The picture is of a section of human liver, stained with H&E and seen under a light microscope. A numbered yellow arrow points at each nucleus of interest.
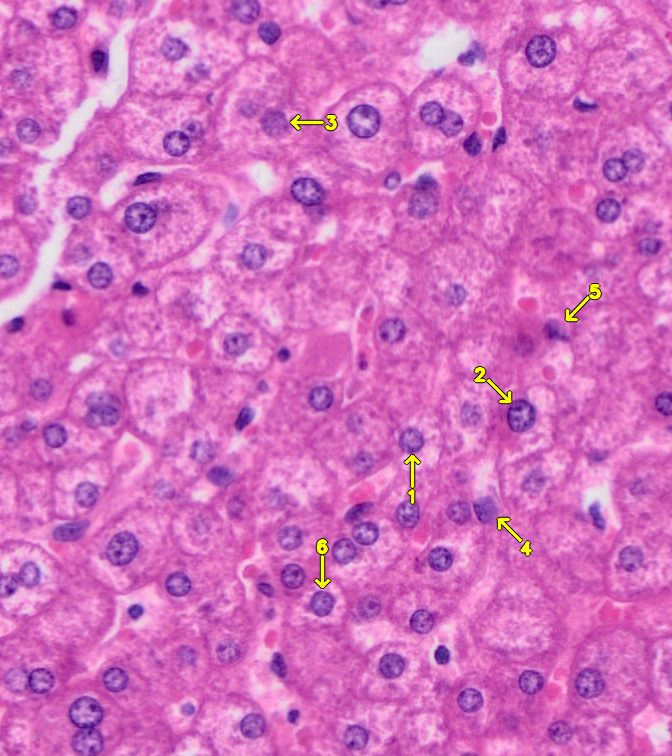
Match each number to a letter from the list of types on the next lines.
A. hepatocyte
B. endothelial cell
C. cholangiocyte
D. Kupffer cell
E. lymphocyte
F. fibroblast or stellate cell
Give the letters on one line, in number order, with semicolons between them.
A; A; A; B; B; A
